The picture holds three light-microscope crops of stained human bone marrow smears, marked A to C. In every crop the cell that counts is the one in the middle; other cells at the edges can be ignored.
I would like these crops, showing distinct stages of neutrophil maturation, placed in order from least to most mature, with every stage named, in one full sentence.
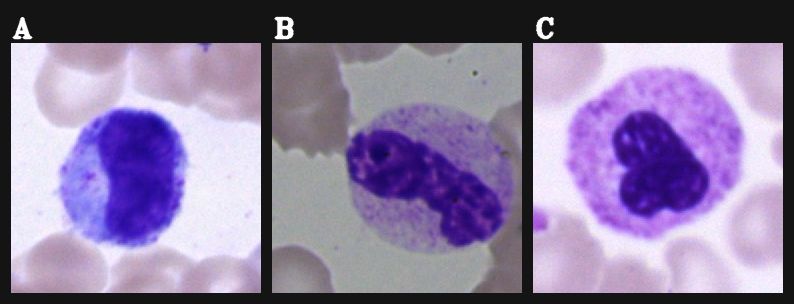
Taken from least to most mature, the sequence is crop A (a metamyelocyte), crop B (a band neutrophil) and crop C (a segmented neutrophil).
